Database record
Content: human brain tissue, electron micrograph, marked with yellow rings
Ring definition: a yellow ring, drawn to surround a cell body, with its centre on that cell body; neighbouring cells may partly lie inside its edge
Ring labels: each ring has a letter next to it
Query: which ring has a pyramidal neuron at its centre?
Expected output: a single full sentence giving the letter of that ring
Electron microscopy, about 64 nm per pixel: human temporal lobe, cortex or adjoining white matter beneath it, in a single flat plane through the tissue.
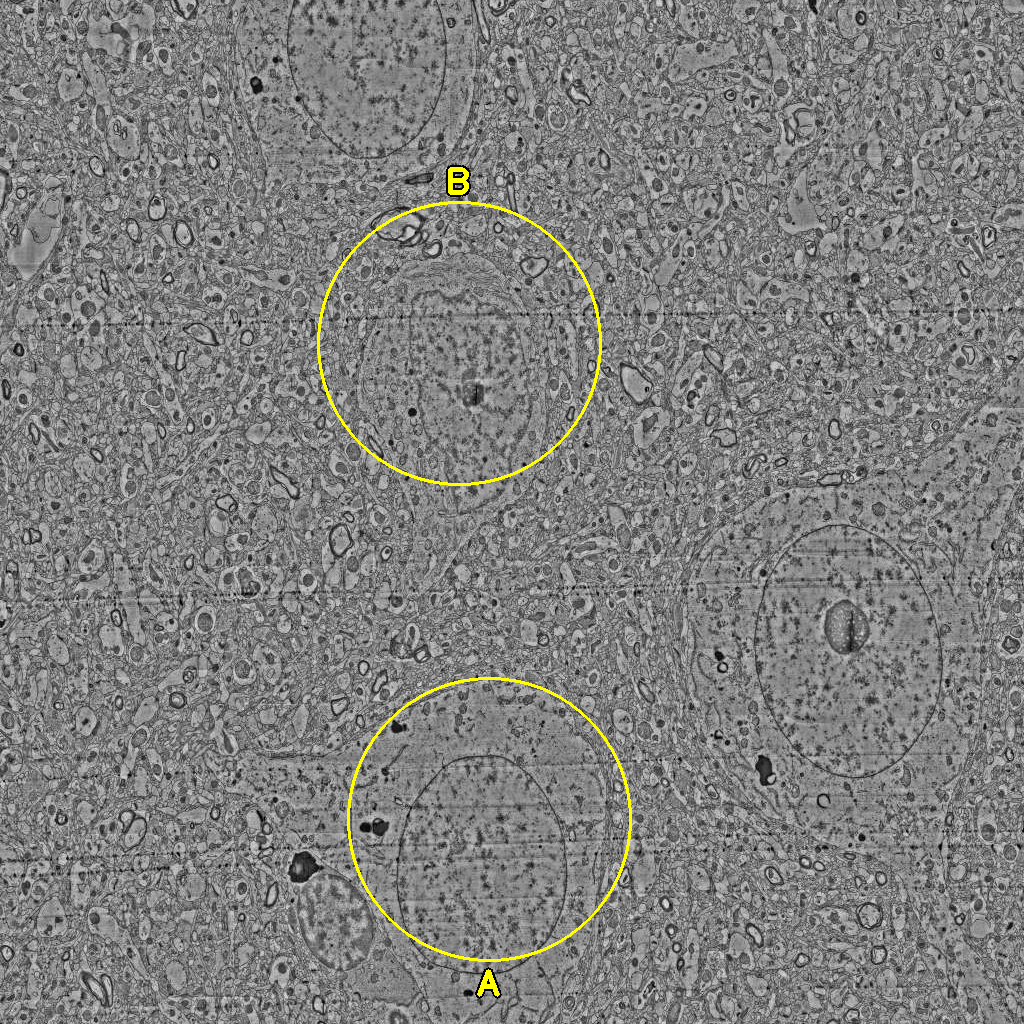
In the picture, the cell being queried lies at the centre of ring A.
